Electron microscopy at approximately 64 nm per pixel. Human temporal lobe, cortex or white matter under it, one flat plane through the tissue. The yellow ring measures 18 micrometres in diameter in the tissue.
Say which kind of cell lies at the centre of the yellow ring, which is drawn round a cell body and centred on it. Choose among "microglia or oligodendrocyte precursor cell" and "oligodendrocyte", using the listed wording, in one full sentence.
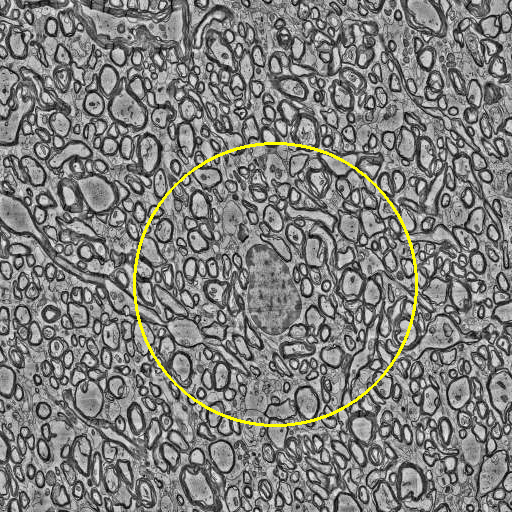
Going by the list, the cell at the yellow ring's centre is a microglial cell or oligodendrocyte precursor cell.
